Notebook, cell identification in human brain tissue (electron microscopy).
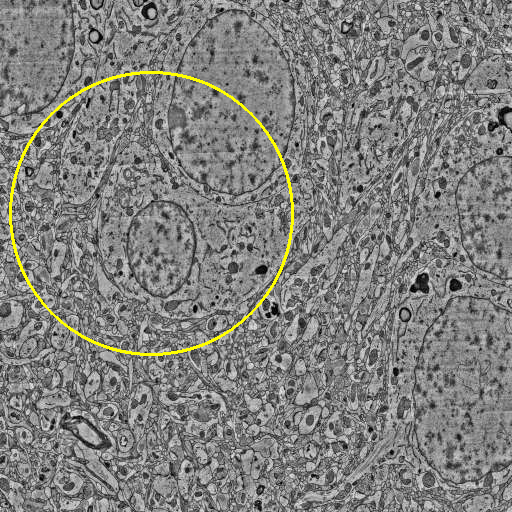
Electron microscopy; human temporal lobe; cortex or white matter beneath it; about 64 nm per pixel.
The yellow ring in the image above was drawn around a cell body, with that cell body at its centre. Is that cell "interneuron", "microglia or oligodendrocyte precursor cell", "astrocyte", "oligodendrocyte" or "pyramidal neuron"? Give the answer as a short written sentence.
The cell in the ring is a pyramidal neuron.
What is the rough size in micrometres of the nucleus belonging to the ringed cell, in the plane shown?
The nucleus appears roughly 6 by 4 micrometres in this plane.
